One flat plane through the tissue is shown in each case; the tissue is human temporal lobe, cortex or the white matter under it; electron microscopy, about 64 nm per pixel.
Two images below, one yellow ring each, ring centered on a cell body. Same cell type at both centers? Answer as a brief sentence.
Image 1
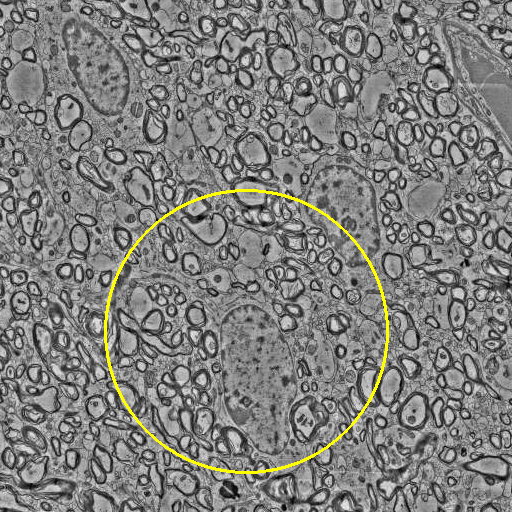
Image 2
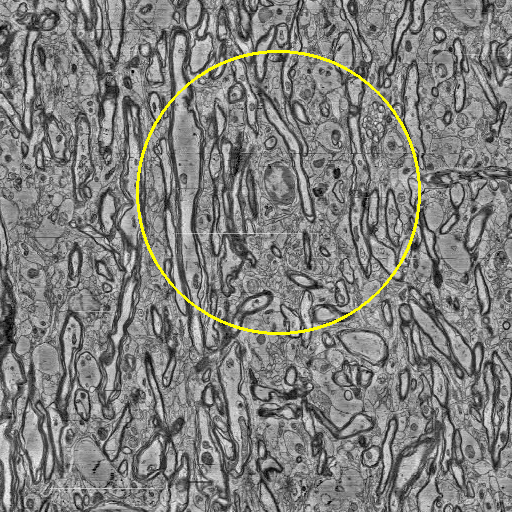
Yes, both cells are of the same type.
